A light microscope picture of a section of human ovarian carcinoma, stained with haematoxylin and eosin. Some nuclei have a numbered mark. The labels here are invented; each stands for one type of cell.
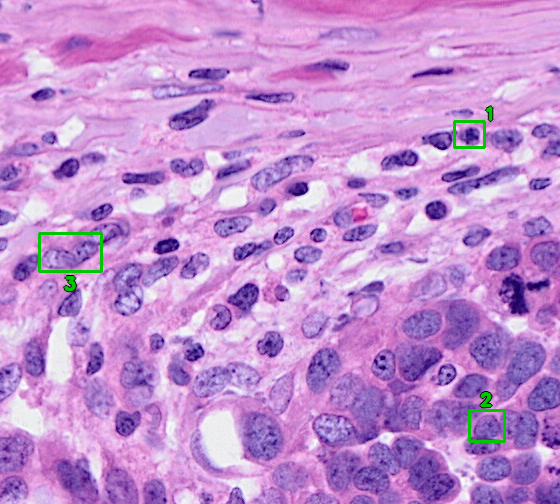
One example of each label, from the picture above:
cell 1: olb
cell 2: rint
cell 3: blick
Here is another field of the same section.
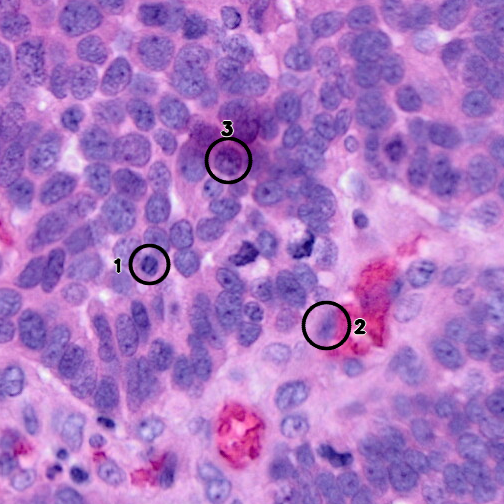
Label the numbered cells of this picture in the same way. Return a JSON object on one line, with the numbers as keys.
{"1": "olb", "2": "blick", "3": "rint"}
